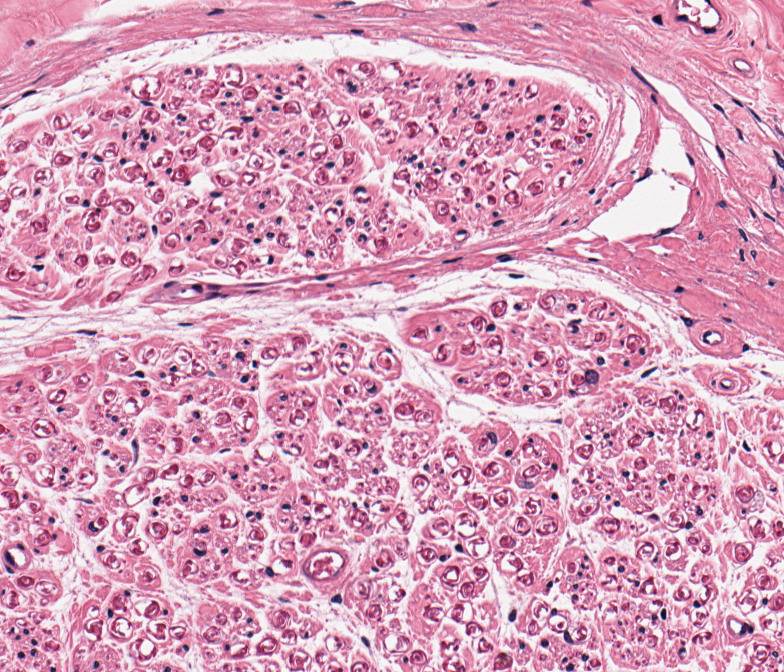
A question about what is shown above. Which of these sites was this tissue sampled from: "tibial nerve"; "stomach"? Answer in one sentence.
The site this tissue was sampled from is the tibial nerve.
